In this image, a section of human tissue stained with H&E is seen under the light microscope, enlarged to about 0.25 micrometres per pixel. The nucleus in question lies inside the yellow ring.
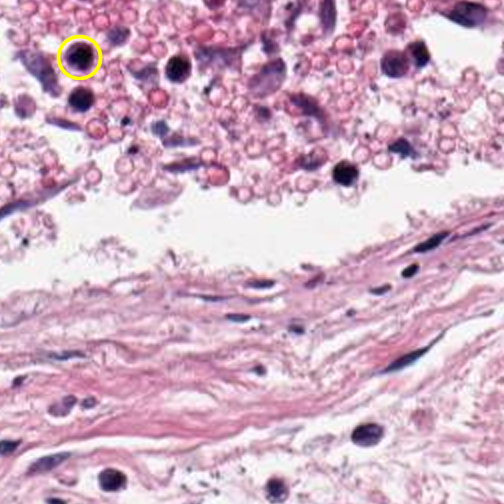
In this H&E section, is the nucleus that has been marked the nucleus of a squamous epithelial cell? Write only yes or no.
no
